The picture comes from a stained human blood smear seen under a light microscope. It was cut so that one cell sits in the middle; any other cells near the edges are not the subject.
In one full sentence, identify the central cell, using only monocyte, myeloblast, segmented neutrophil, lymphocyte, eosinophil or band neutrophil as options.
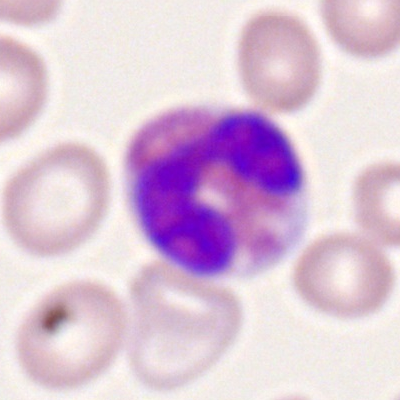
At the middle of the frame sits an eosinophil.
